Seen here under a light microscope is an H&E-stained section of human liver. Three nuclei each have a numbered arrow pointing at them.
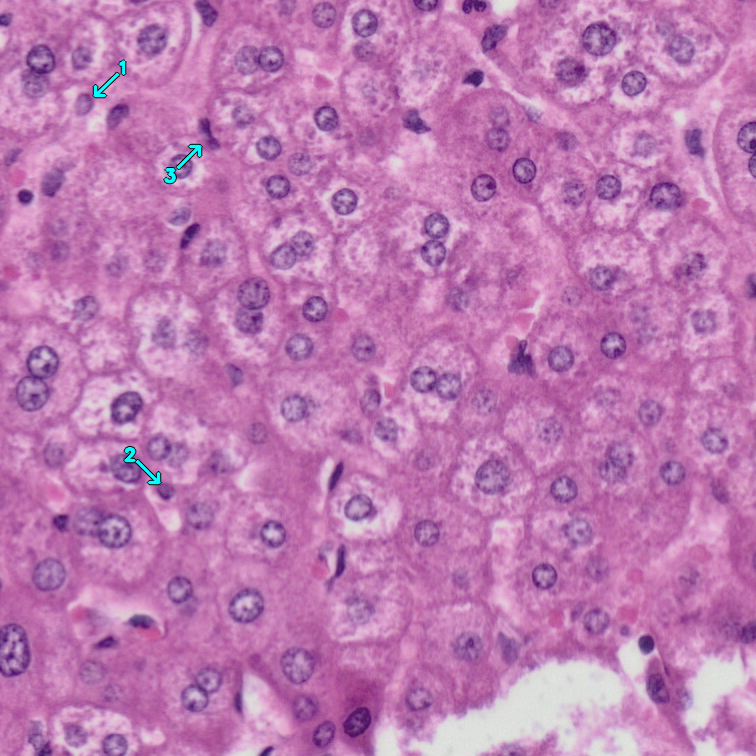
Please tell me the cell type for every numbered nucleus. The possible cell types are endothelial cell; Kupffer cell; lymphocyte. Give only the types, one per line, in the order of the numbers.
Kupffer cell
Kupffer cell
endothelial cell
